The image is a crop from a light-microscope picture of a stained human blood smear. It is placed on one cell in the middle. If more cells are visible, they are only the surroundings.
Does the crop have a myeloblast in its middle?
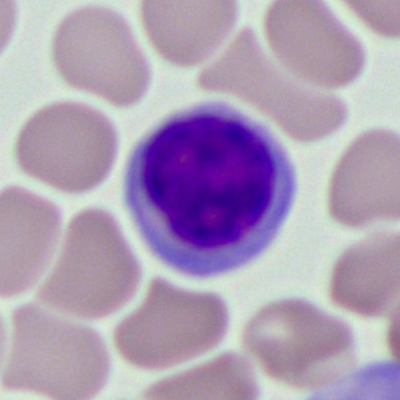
no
